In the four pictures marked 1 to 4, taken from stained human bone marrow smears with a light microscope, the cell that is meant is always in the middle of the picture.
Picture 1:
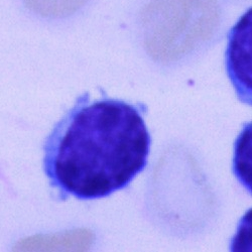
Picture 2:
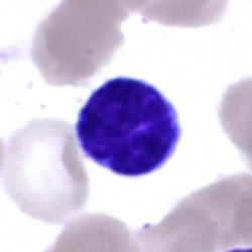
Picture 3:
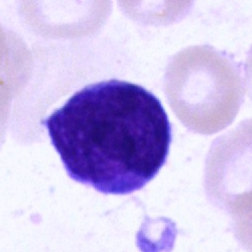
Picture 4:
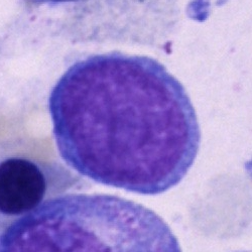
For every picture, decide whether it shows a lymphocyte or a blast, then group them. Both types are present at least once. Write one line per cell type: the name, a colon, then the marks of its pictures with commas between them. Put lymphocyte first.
lymphocyte: 1, 2
blast: 3, 4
